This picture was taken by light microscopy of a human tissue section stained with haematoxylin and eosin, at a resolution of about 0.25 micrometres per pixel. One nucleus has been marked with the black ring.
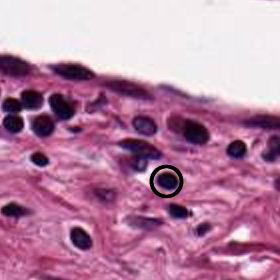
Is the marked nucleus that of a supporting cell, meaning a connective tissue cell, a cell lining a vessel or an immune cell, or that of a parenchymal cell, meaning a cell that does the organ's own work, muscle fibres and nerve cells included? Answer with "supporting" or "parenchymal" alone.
supporting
